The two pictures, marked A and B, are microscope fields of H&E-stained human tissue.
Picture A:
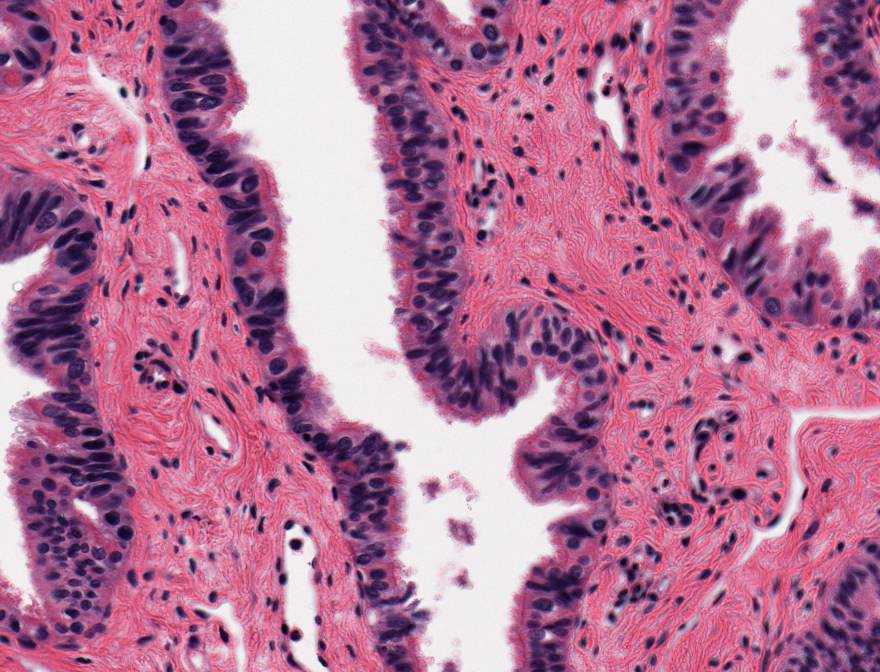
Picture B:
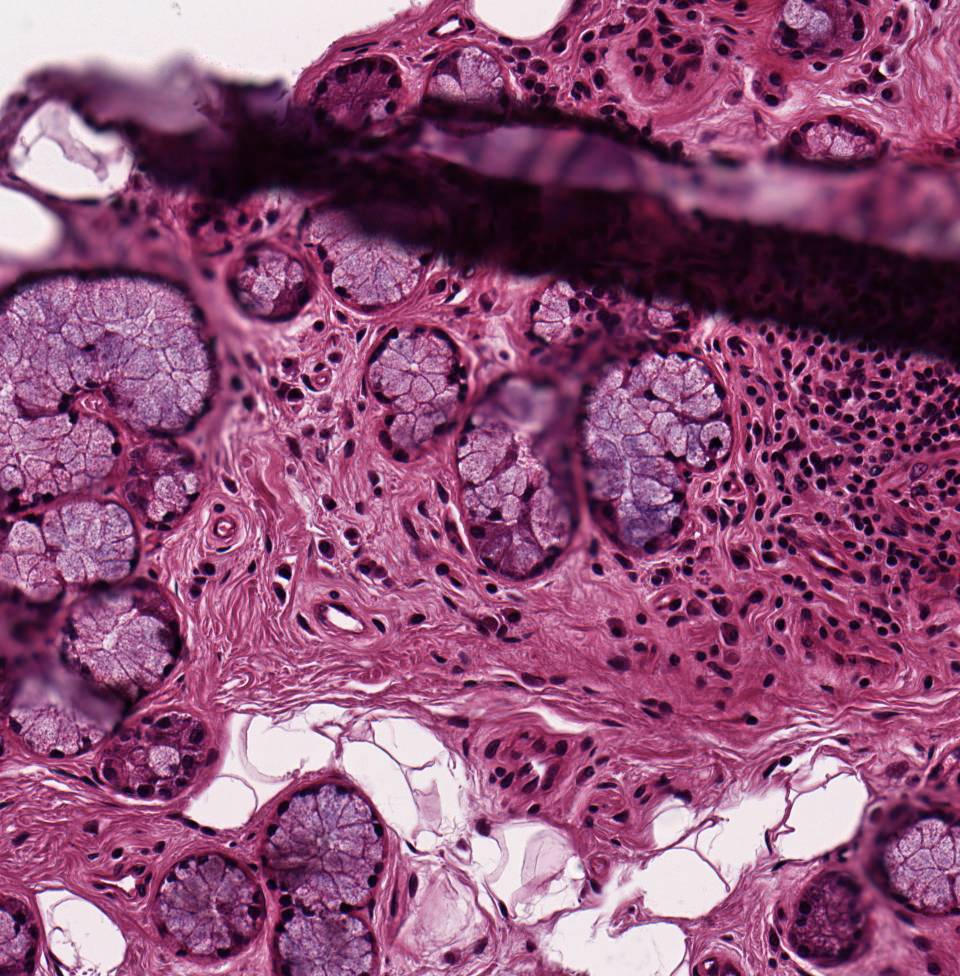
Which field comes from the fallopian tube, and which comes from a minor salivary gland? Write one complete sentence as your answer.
Picture A comes from the fallopian tube and picture B comes from a minor salivary gland.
